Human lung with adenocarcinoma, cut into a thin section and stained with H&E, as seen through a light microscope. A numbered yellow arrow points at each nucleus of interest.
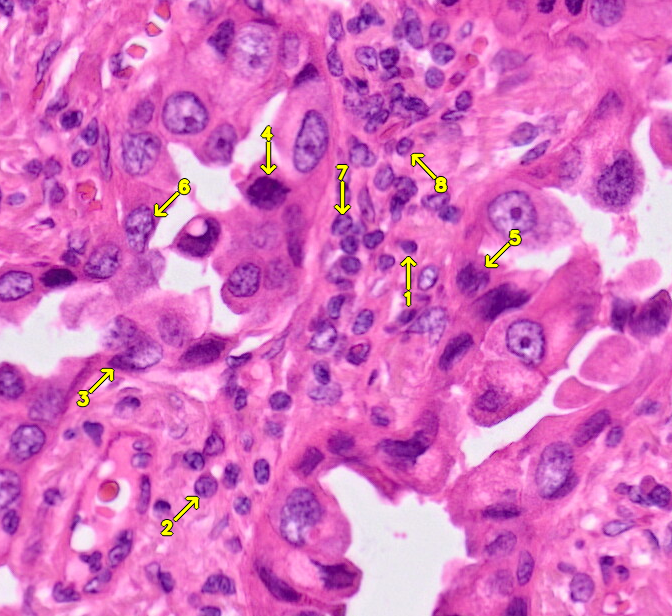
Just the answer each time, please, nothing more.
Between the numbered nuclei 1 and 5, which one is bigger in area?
5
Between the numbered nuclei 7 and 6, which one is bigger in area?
6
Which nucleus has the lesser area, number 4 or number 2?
2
